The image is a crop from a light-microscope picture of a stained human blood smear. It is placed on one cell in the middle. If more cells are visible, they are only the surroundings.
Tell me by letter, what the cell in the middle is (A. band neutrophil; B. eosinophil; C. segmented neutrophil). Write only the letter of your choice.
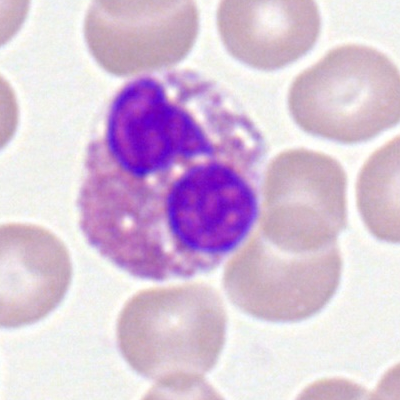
B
